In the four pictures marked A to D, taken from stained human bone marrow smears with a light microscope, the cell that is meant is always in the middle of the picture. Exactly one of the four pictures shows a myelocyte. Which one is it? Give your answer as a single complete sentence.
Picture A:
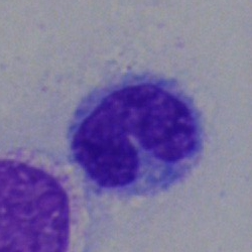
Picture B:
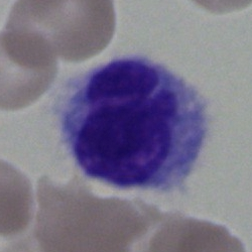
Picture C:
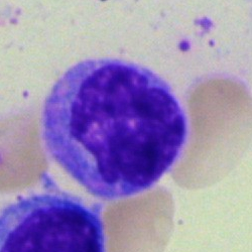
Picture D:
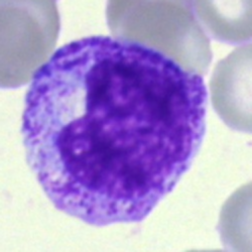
Picture D shows the myelocyte.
